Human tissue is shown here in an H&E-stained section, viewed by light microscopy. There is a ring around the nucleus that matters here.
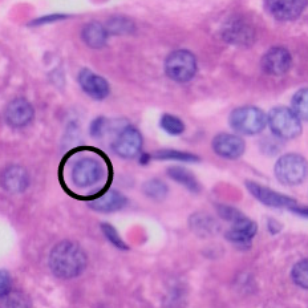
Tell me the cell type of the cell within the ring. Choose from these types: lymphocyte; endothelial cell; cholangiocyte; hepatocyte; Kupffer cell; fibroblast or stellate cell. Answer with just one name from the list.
cholangiocyte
